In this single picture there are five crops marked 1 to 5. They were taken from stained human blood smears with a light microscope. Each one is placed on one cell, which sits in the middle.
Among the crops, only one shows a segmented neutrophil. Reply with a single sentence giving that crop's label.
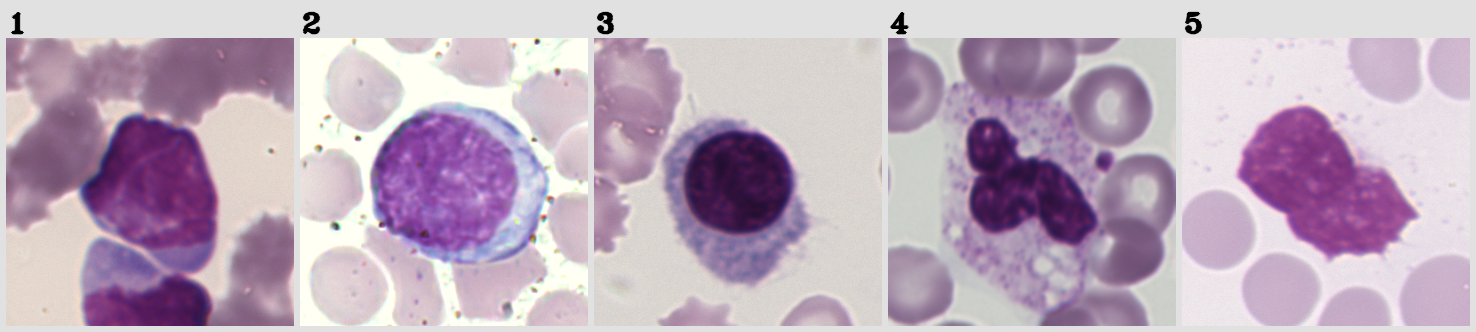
Crop 4 is the crop containing a segmented neutrophil.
